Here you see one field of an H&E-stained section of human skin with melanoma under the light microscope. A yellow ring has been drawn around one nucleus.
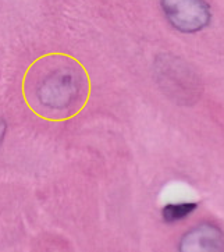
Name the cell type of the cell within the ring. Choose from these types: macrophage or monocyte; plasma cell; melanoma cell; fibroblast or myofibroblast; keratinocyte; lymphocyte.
keratinocyte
